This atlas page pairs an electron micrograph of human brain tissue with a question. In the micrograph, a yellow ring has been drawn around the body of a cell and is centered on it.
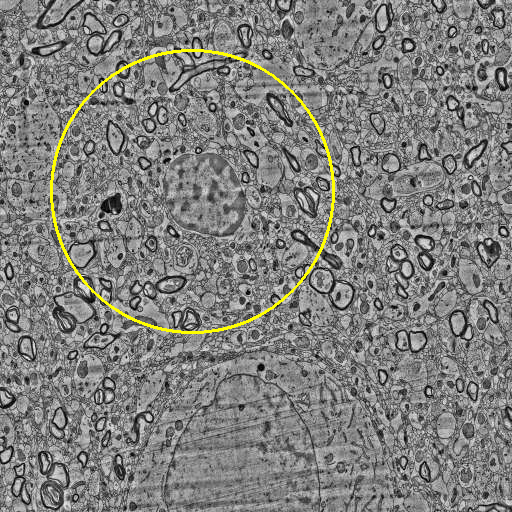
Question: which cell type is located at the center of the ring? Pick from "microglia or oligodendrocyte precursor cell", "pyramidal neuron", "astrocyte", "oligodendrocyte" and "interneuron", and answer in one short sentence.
Located at the center of the ring is a microglial cell or oligodendrocyte precursor cell.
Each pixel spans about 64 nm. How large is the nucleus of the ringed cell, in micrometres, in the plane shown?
Roughly 5 micrometres across, measured in this plane.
